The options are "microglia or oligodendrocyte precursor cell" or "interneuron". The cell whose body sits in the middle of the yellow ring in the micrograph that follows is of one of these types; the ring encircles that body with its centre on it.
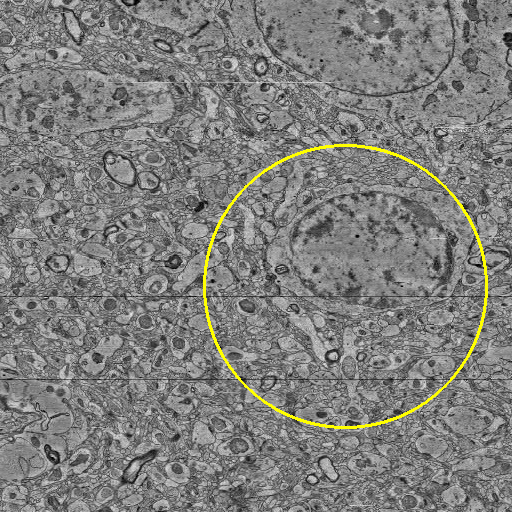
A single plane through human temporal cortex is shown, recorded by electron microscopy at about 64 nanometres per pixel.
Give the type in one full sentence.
Going by the micrograph, the cell centred in the yellow ring is an interneuron.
